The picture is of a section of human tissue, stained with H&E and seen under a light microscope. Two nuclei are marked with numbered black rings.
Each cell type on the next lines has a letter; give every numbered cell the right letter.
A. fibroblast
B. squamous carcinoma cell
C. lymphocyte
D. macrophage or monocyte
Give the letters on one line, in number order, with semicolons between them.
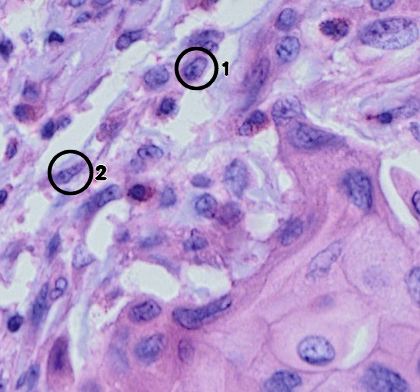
D; A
